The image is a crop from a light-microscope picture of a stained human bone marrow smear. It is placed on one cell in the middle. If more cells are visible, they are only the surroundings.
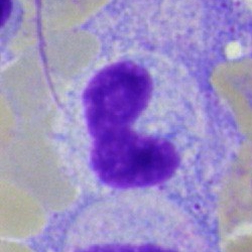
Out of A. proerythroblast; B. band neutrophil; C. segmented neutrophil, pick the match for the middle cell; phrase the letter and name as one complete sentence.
Well, the cell in the middle is a band neutrophil, making option B right.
